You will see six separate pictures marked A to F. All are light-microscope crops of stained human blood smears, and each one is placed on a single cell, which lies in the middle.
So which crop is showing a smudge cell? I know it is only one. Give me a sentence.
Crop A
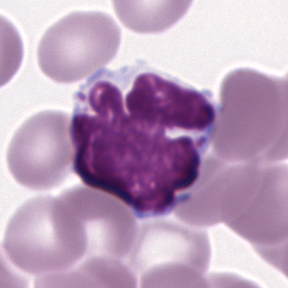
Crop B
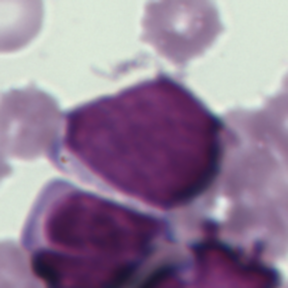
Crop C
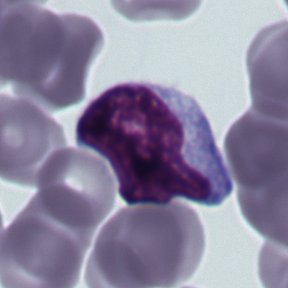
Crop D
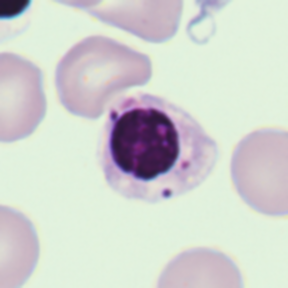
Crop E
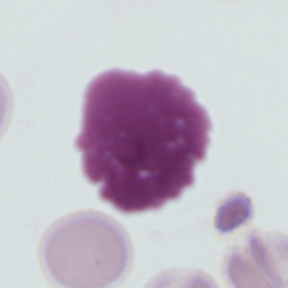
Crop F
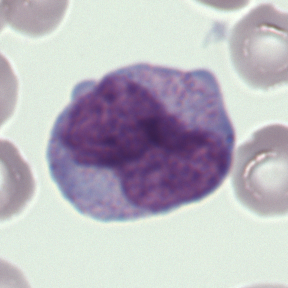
Within this set, crop E is the one with a smudge cell at its center.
